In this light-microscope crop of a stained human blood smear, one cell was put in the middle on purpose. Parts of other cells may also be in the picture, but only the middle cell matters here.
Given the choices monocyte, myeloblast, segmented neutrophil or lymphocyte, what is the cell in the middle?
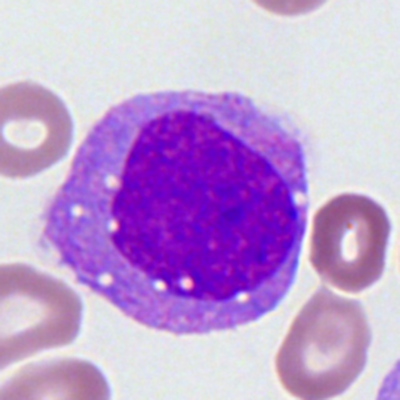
myeloblast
